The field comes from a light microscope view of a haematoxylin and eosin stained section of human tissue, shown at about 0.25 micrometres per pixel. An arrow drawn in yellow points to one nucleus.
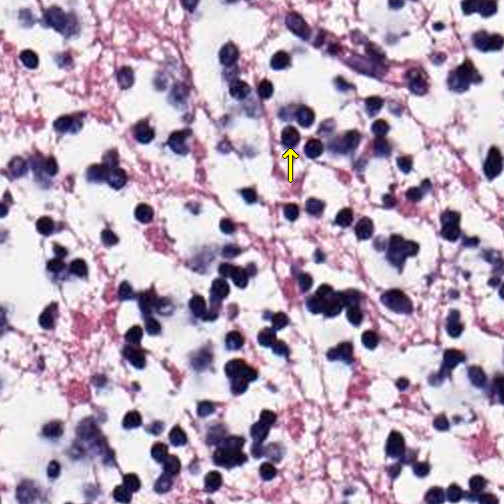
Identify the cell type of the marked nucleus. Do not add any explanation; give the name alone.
cerebellar granule cell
